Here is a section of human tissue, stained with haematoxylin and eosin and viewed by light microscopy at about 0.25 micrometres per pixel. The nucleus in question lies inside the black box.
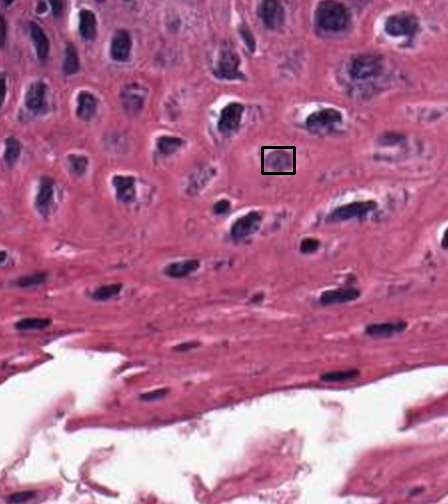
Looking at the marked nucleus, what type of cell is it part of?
squamous epithelial cell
